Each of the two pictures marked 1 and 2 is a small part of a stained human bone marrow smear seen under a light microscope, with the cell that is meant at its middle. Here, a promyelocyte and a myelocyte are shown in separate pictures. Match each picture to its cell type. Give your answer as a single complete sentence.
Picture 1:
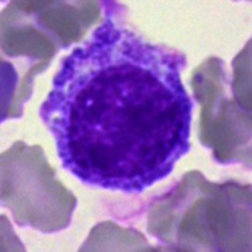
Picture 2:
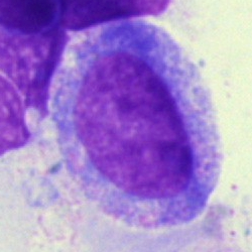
Picture 1 shows a myelocyte and picture 2 shows a promyelocyte.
